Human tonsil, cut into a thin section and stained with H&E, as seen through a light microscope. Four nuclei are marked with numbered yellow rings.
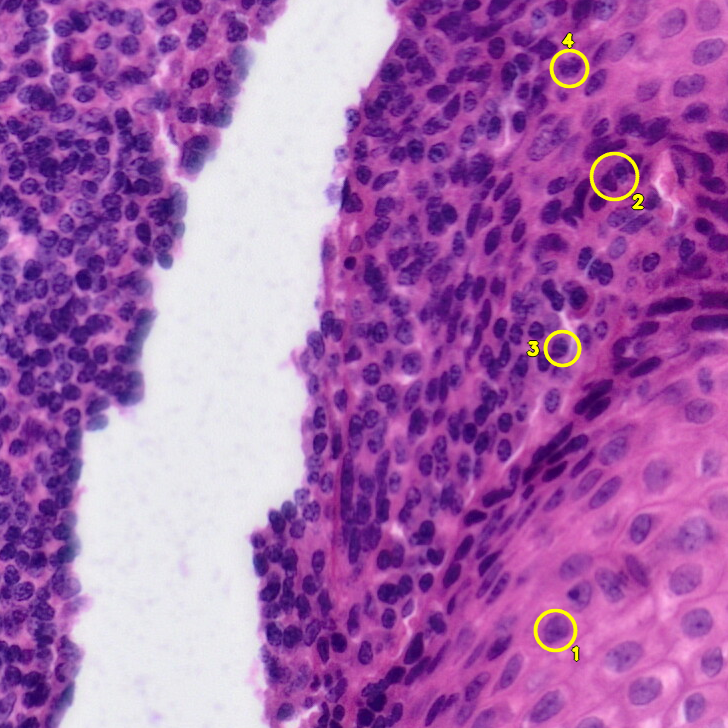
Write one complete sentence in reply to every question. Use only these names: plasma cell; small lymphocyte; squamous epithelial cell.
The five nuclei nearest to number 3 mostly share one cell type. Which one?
The majority of the five nuclei closest to number 3 belong to plasma cells.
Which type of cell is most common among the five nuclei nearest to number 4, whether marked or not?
Around number 4, most of the five nearest nuclei are those of squamous epithelial cells.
